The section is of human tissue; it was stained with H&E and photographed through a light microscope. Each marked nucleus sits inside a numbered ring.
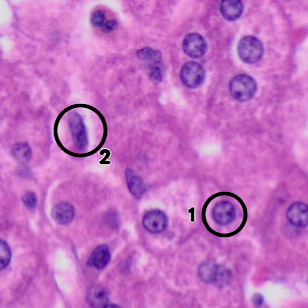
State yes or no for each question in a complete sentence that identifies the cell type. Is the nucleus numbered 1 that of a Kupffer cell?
No, the cell referred to as 1 is a hepatocyte, not a Kupffer cell.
